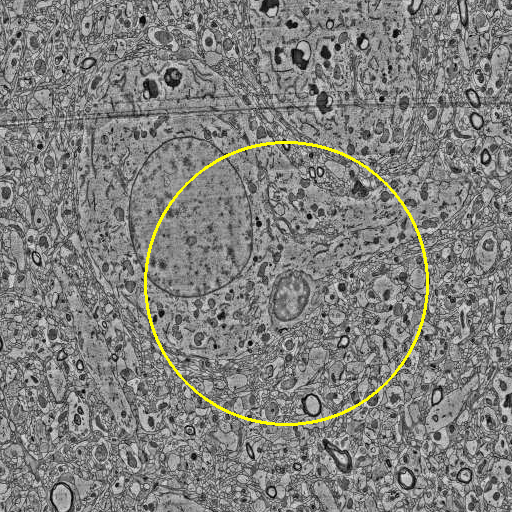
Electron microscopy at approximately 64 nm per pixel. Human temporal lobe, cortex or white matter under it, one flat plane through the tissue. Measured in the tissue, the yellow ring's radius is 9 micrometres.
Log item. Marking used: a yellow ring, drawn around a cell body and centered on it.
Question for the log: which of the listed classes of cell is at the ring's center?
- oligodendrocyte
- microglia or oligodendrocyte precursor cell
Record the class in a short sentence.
At the center of the ring lies an oligodendrocyte.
